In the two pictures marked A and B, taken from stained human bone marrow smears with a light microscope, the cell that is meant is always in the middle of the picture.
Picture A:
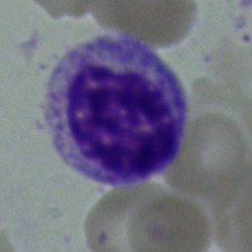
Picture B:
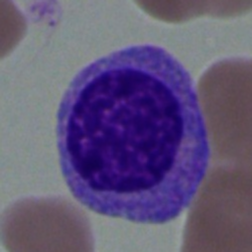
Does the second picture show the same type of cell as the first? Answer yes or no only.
yes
